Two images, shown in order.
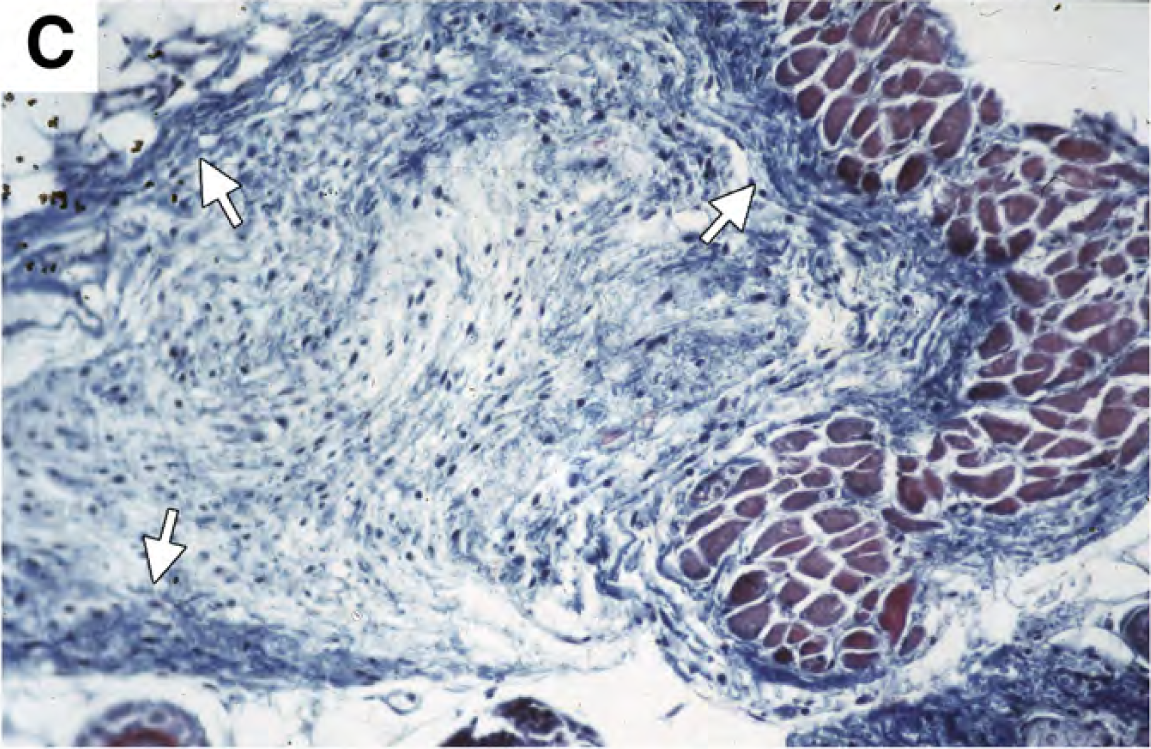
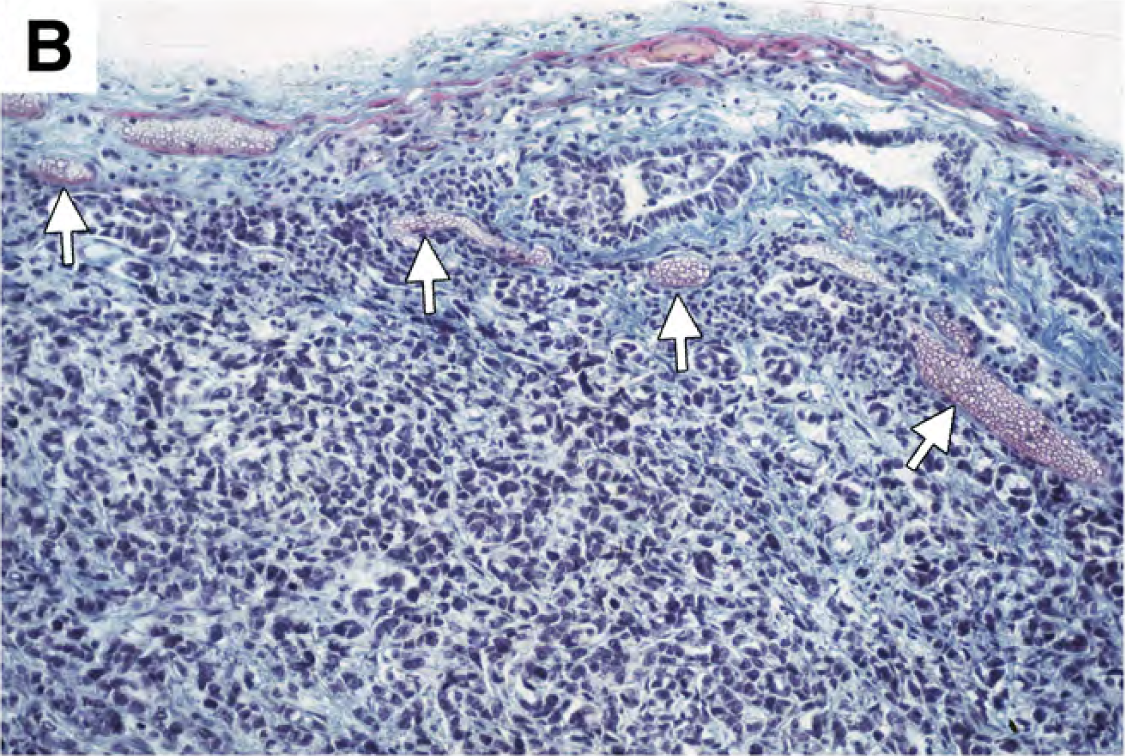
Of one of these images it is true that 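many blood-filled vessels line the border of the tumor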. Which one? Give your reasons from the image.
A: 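The second image. First image: no vessels filled with red blood cells are evident; the field is mostly blue fibrous tissue and muscle. Second image: several elongated vessels packed with pink red blood cells run along the tumor edge.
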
